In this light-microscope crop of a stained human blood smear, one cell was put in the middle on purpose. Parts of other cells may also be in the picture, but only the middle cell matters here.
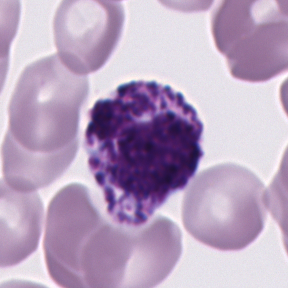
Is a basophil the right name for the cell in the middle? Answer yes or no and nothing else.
yes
